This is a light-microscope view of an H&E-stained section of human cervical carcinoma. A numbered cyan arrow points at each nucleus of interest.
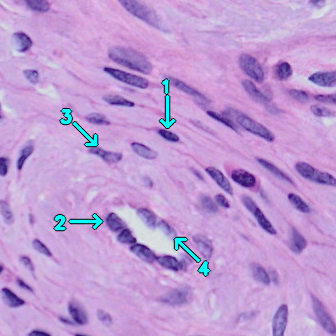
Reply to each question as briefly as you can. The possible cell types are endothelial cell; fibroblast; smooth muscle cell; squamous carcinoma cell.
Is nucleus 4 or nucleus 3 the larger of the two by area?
3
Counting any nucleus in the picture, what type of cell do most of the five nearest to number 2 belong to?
endothelial cell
